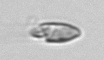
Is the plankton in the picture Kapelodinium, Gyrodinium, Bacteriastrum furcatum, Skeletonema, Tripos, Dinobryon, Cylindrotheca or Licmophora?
It is Kapelodinium.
